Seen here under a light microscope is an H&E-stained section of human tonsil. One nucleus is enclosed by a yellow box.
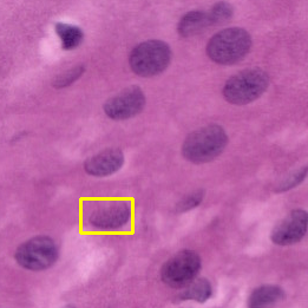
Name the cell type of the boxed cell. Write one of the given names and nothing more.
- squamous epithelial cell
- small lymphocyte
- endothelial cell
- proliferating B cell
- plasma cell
squamous epithelial cell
